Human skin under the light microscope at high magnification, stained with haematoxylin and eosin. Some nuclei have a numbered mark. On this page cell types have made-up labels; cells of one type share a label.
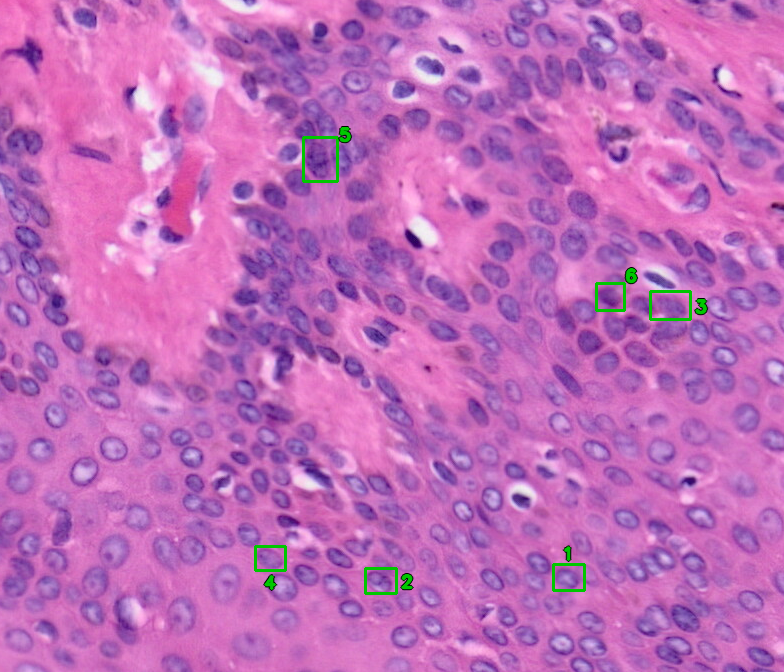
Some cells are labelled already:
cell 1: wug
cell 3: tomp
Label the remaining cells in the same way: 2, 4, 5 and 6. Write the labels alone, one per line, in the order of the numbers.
wug
wug
tomp
tomp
